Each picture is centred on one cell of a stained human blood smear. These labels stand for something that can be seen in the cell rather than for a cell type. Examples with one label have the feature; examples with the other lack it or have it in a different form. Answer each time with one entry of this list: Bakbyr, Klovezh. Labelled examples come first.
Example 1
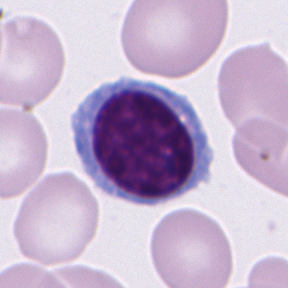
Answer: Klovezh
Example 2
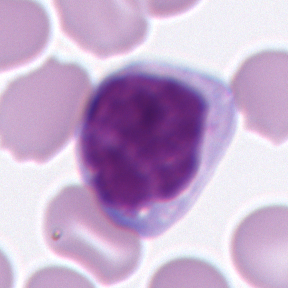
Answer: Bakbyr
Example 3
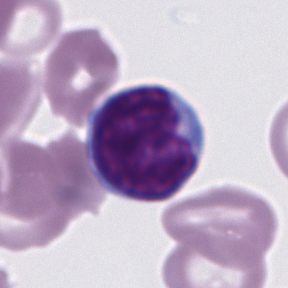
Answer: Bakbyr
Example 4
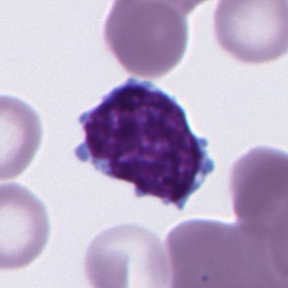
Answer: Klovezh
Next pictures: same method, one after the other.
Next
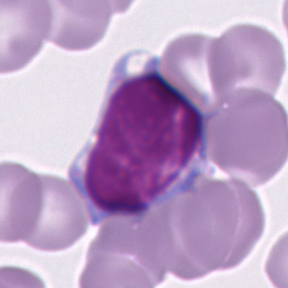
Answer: Klovezh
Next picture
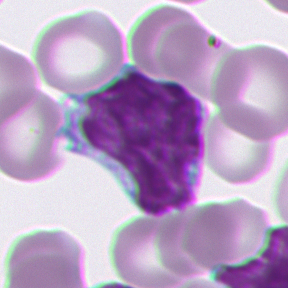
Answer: Klovezh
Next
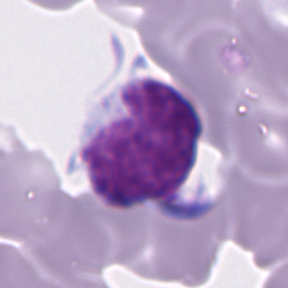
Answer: Klovezh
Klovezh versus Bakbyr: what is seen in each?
In Klovezh: ragged outline or projections. In Bakbyr: smooth outline.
